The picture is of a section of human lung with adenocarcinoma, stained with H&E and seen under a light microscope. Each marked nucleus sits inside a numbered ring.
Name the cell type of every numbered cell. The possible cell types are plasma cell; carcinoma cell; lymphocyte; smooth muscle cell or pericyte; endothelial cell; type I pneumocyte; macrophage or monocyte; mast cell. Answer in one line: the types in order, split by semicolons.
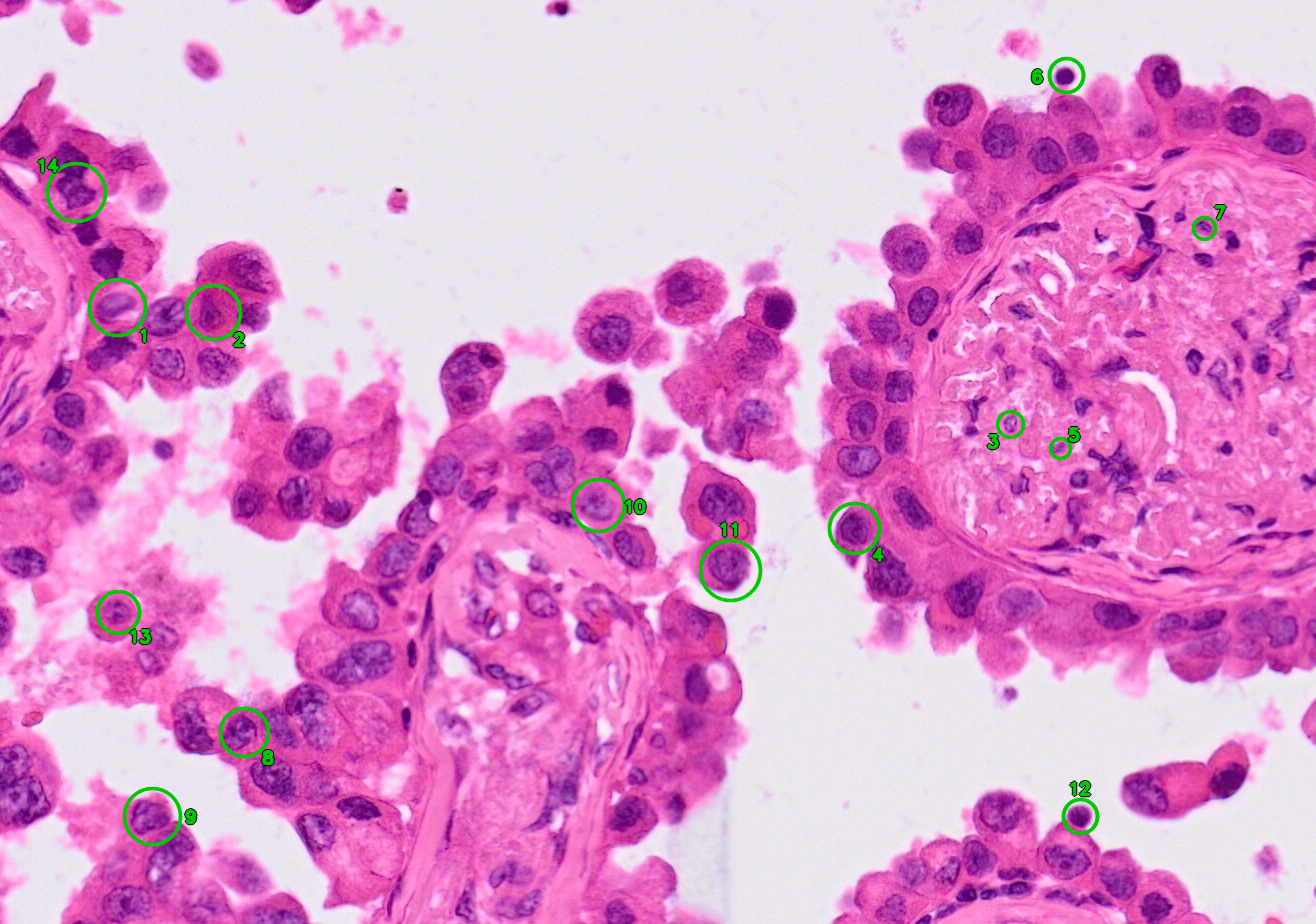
carcinoma cell; carcinoma cell; mast cell; carcinoma cell; smooth muscle cell or pericyte; lymphocyte; smooth muscle cell or pericyte; carcinoma cell; carcinoma cell; carcinoma cell; carcinoma cell; lymphocyte; macrophage or monocyte; carcinoma cell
